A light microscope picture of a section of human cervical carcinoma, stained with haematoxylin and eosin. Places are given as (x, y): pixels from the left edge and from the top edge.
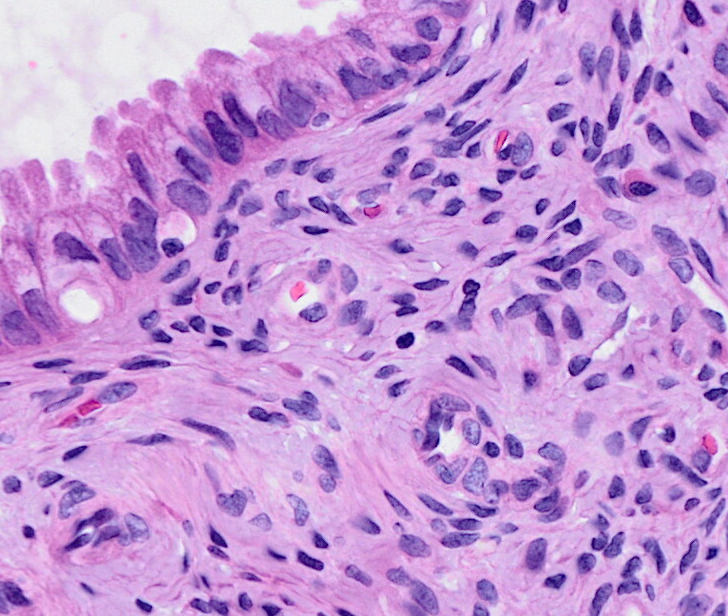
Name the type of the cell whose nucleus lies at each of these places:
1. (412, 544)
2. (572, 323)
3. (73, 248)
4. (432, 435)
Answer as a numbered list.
1. fibroblast
2. fibroblast
3. secretory epithelial cell
4. endothelial cell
